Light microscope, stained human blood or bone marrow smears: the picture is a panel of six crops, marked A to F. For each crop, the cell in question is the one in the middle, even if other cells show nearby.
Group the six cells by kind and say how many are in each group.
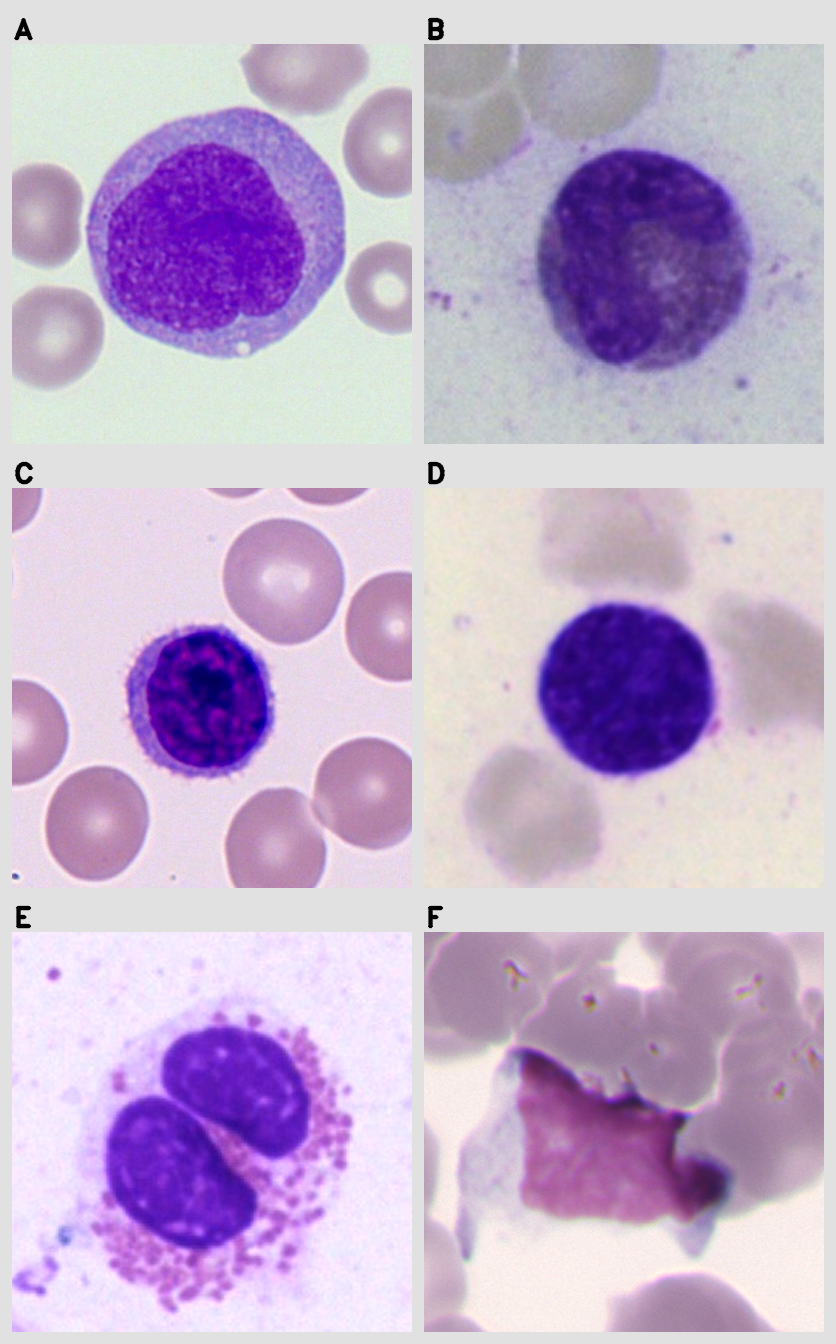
lymphocyte: 3
eosinophil: 2
blast: 1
